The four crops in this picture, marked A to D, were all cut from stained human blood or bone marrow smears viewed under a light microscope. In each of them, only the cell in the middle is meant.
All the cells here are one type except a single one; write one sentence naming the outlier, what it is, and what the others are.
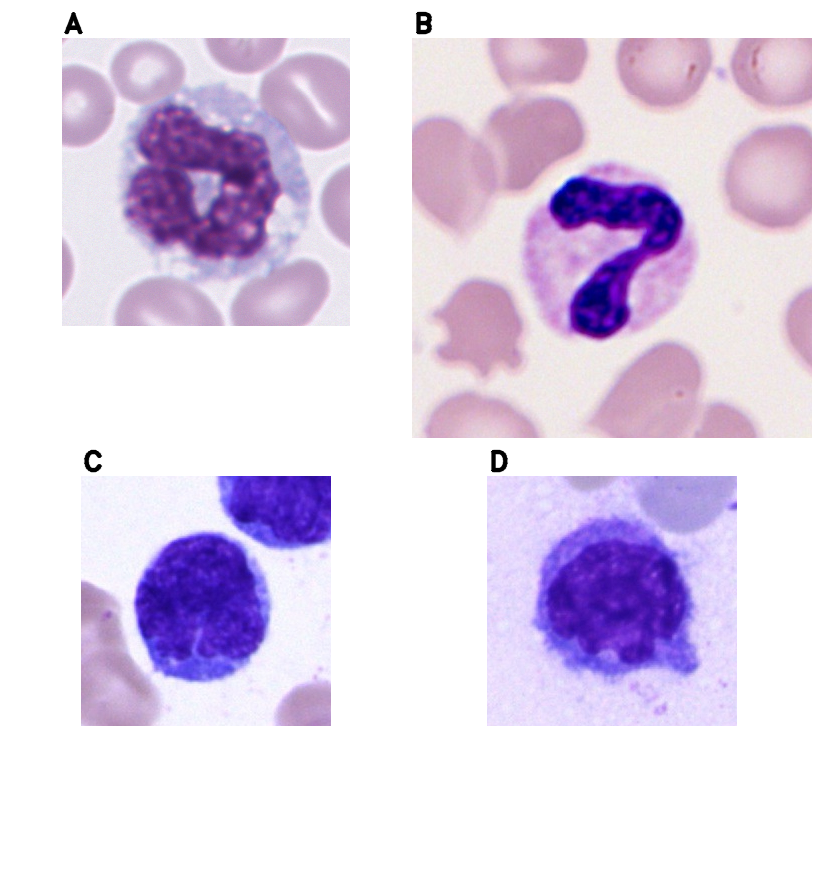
The crops all show monocytes, with the exception of crop B, which shows a segmented neutrophil.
